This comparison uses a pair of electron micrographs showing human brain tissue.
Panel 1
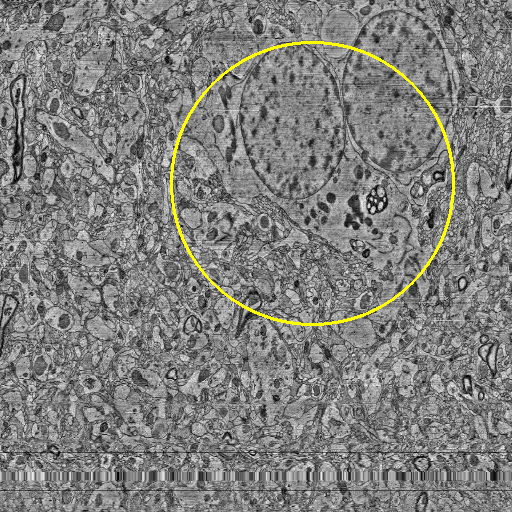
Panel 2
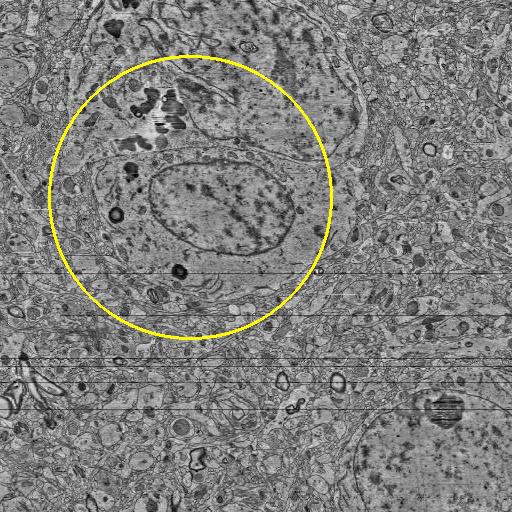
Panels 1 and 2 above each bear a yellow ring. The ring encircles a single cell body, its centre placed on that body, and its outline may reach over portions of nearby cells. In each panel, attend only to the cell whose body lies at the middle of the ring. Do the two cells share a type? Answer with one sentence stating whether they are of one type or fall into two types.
In Panel 1 and Panel 2, the cells at the centres of the rings fall into two types.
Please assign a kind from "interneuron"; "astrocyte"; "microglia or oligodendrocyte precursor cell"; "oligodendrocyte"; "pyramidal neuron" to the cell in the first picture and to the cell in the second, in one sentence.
In the first picture we have an astrocyte, and in the second, a pyramidal neuron.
